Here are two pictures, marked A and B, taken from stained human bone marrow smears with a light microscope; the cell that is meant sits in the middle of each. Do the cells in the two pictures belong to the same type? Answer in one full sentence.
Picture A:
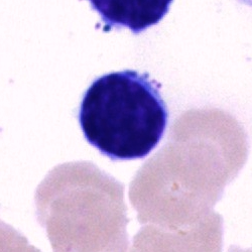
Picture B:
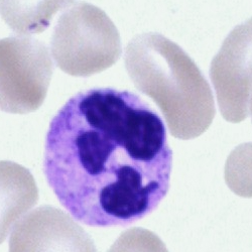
No; the cell in picture A is a lymphocyte, while the one in picture B is a segmented neutrophil.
